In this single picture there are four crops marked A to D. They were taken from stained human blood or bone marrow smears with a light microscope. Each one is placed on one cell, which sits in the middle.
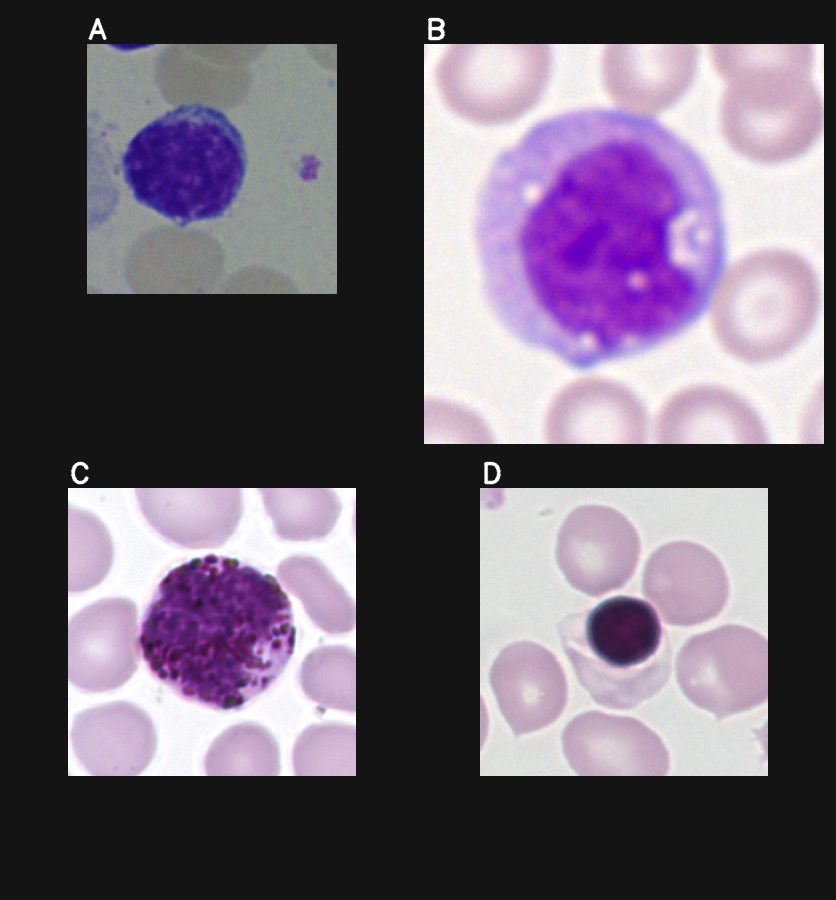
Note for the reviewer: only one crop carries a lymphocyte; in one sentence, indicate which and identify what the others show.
Crop A corresponds to a lymphocyte, while crop B is a monocyte, crop C is a basophil and crop D is an erythroblast.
